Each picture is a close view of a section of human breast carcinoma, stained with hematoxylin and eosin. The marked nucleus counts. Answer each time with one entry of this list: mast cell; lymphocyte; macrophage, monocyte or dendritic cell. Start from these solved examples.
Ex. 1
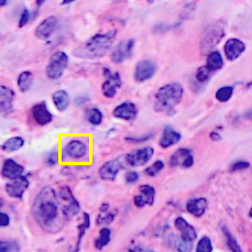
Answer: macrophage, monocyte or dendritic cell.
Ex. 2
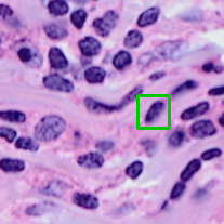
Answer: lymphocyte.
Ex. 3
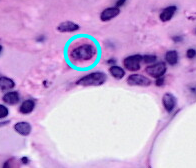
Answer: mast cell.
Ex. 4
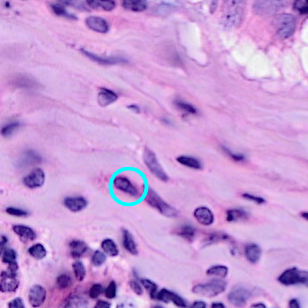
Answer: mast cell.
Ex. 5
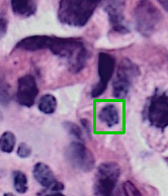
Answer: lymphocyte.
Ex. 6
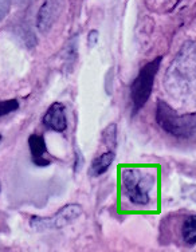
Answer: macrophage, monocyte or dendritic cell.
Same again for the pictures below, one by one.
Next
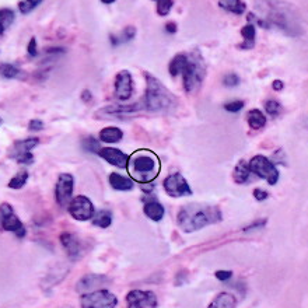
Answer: lymphocyte.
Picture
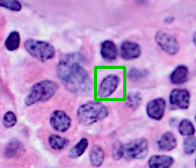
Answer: lymphocyte.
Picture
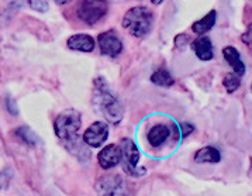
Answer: lymphocyte.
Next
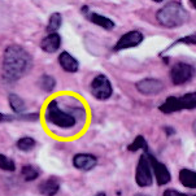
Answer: lymphocyte.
